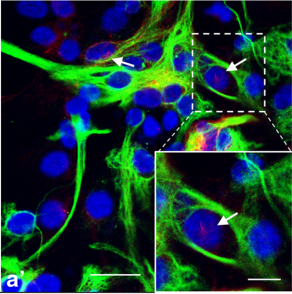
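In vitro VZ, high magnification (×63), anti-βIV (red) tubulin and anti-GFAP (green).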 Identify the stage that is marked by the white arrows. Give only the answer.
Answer: monociliated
